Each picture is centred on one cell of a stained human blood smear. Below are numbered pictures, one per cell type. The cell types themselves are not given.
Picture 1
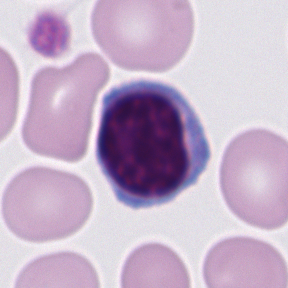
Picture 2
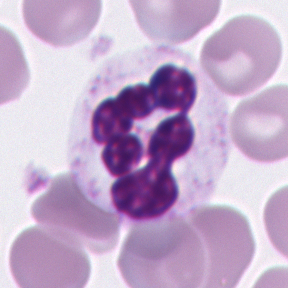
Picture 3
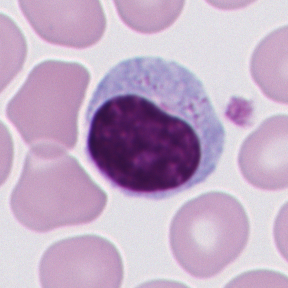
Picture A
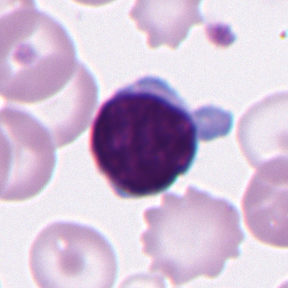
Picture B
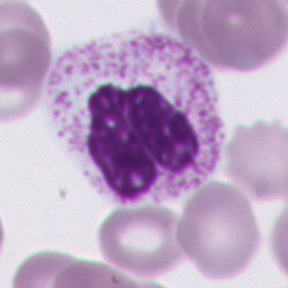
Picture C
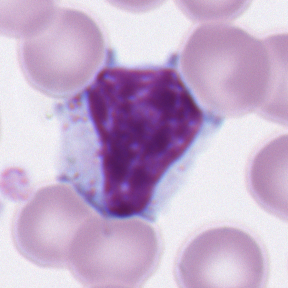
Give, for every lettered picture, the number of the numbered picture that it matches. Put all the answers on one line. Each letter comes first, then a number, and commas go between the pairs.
A 1, B 2, C 3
